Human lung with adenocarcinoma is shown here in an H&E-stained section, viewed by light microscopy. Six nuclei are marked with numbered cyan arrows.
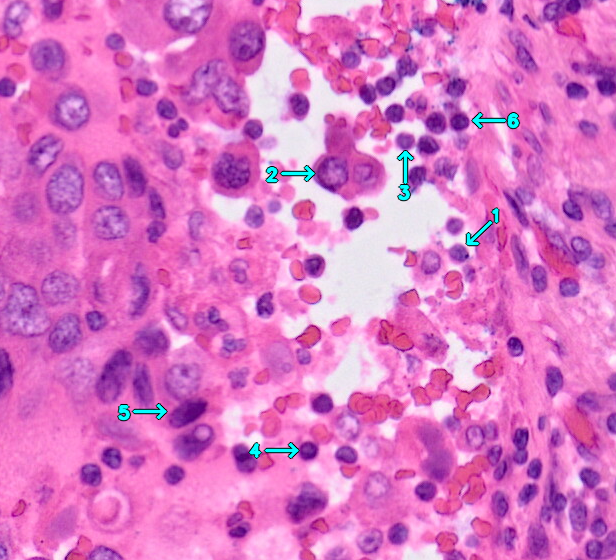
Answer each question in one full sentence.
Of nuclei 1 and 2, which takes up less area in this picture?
The smaller nucleus is 1, and 2 covers roughly 3 times its area.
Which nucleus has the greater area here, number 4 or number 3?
It is nucleus 4, which covers about 1.5 times the area of nucleus 3.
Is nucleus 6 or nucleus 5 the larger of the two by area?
Of the two, number 5 is bigger and takes up about 2.5 times the area of number 6.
